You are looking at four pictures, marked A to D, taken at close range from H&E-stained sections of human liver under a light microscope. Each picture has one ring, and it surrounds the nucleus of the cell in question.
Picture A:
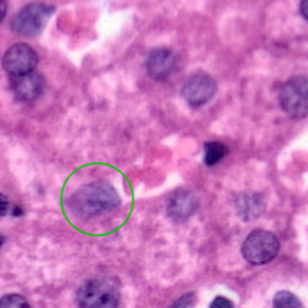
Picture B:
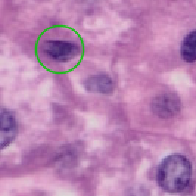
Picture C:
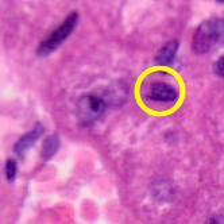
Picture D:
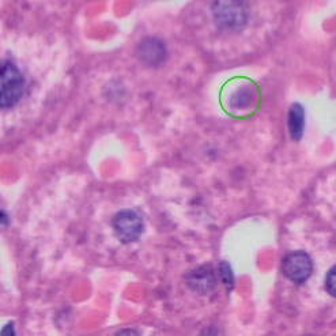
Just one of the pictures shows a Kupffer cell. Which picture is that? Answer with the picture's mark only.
D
